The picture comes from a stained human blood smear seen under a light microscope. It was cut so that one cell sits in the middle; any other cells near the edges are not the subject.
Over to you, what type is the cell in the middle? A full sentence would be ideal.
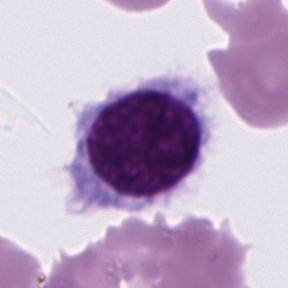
The crop centres on a single cell, and that cell is a hairy cell.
